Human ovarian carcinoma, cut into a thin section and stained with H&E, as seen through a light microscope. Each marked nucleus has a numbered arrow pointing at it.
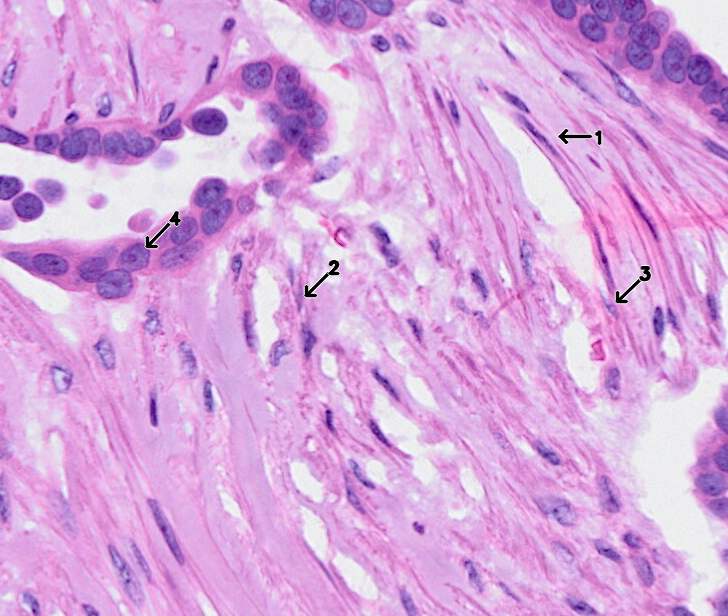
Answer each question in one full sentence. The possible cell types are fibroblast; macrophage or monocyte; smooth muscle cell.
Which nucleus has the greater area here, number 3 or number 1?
The larger nucleus is 1, at roughly 2 times the area of 3.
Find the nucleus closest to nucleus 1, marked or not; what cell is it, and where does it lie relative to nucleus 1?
It is a fibroblast, whose nucleus lies above and to the left of nucleus 1.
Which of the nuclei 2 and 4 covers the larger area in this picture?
At about 3 times the area of nucleus 2, nucleus 4 is the larger of the two.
